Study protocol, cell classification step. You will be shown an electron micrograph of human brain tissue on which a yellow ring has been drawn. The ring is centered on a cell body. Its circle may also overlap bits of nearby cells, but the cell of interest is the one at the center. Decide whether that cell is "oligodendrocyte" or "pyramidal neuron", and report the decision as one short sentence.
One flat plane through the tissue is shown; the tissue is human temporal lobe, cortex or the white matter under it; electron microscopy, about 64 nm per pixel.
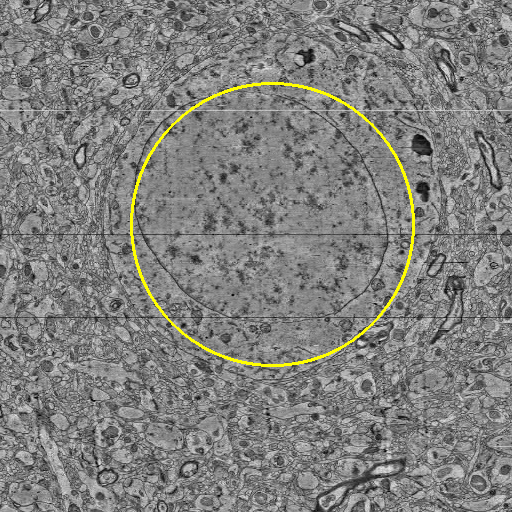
The marked cell is a pyramidal neuron.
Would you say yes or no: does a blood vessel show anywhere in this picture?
No, no vessel appears in the picture.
